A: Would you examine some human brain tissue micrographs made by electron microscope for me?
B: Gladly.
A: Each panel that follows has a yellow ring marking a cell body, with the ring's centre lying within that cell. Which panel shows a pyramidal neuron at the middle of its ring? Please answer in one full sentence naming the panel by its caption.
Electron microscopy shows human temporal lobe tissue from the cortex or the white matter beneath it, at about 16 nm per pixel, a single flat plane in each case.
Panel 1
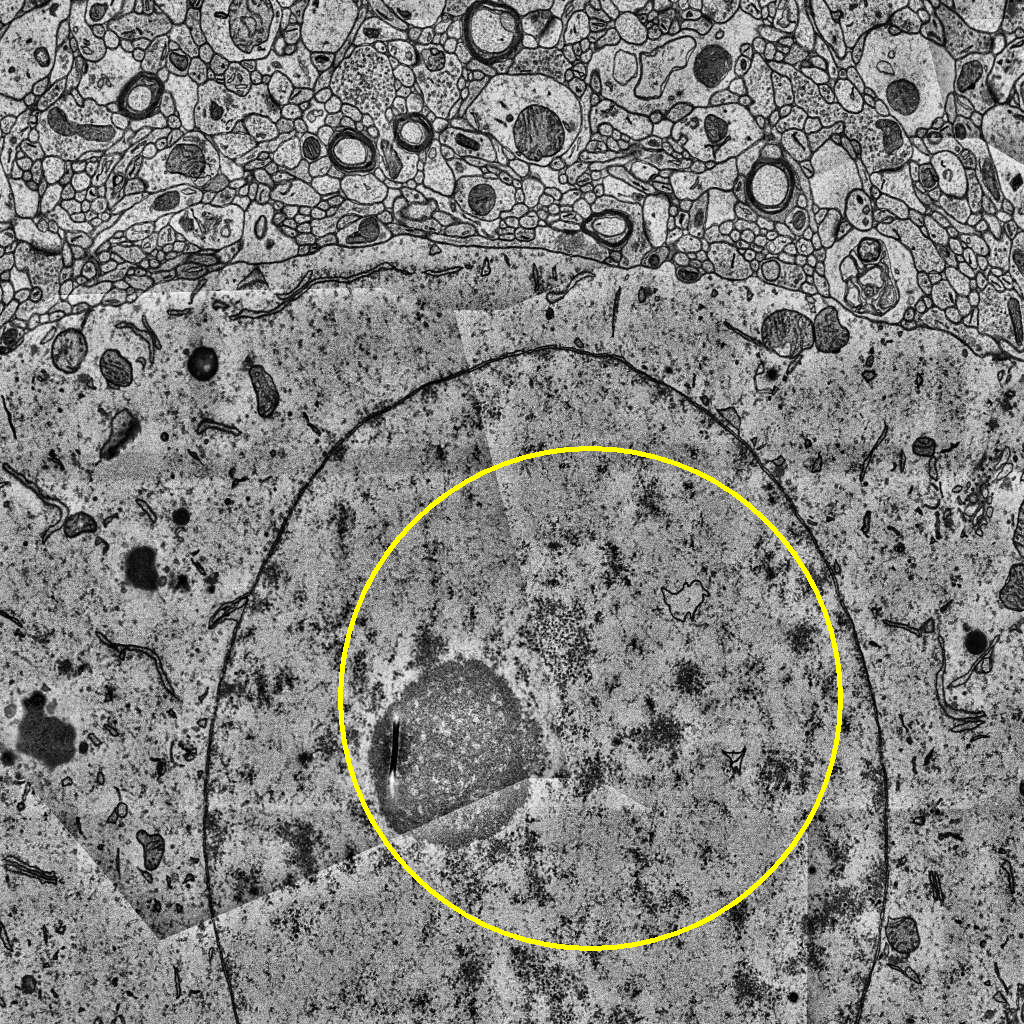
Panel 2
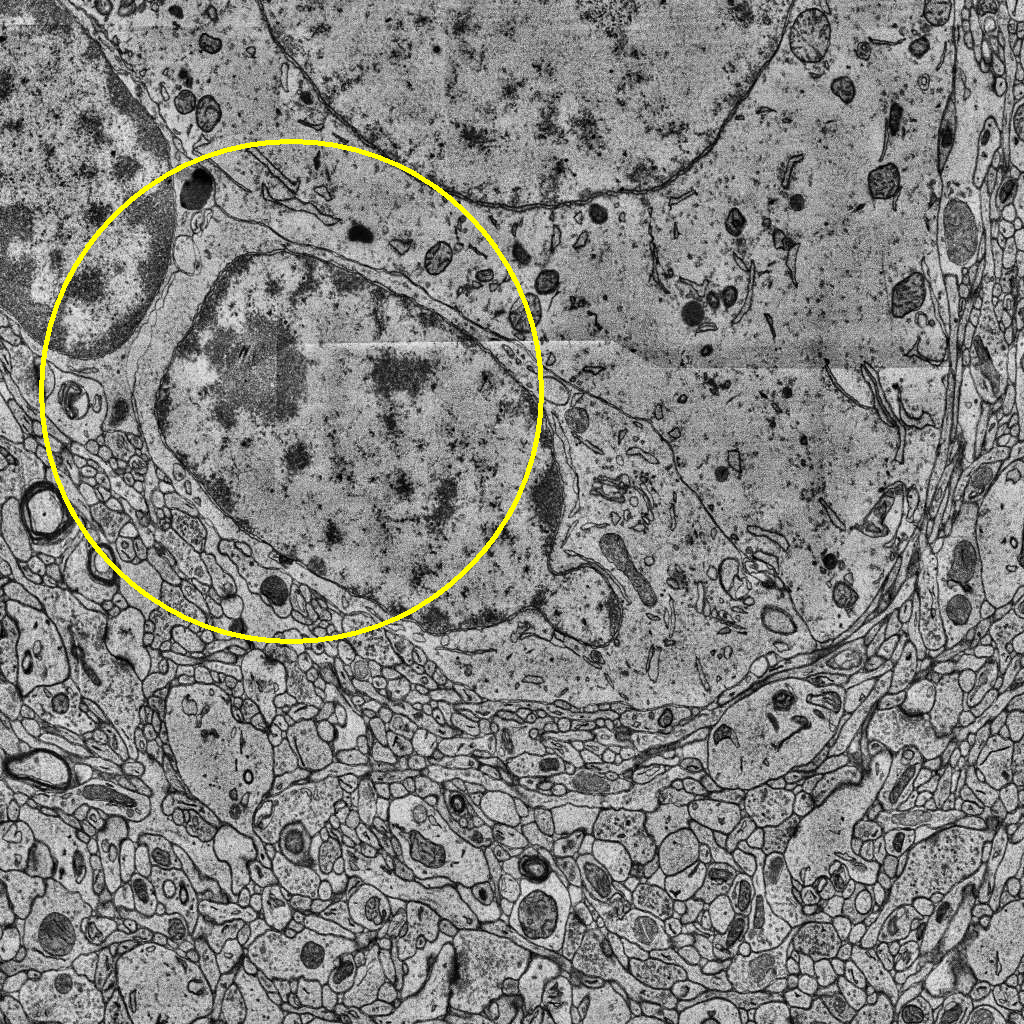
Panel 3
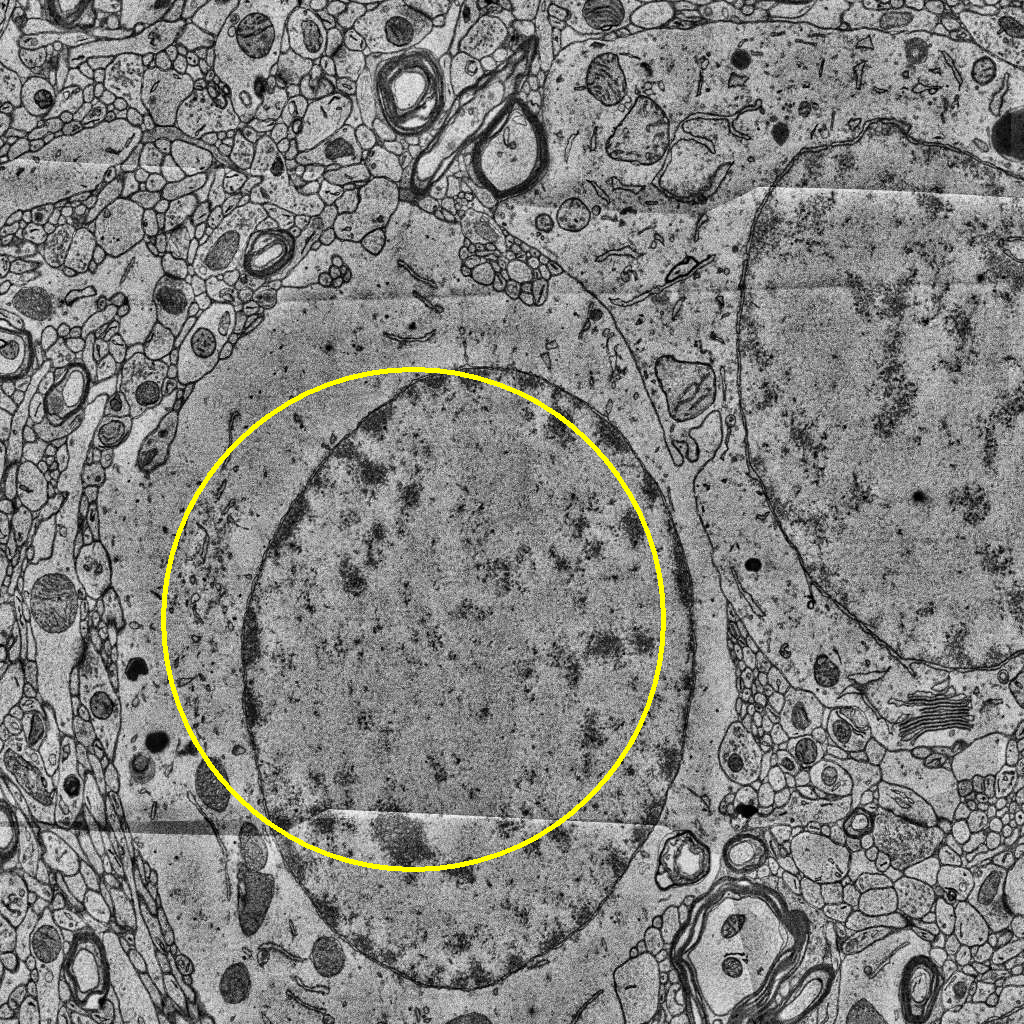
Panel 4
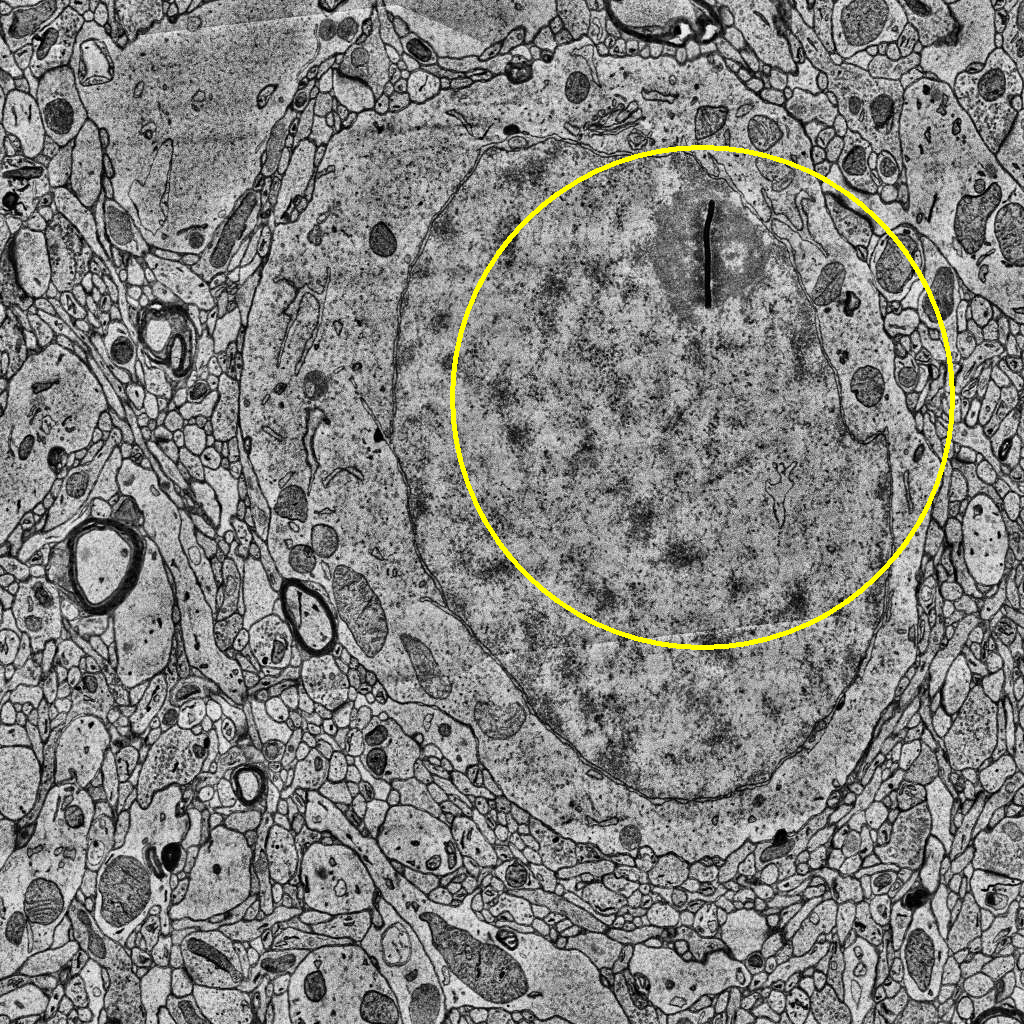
Panel 1 is where the ring's centre lies within the requested cell.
